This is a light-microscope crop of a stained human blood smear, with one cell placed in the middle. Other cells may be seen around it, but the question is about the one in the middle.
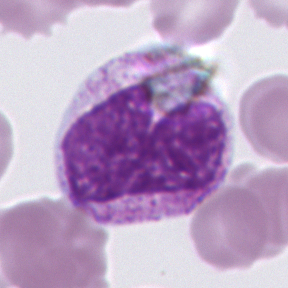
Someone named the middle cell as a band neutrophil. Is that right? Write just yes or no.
yes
